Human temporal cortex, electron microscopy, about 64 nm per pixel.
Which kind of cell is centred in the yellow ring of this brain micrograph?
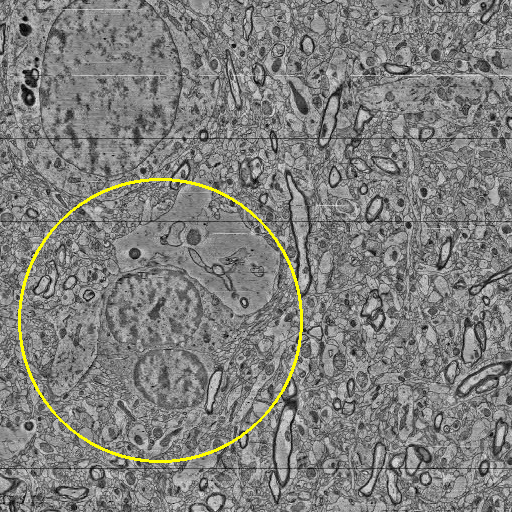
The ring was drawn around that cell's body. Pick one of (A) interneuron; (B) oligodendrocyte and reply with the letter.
B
